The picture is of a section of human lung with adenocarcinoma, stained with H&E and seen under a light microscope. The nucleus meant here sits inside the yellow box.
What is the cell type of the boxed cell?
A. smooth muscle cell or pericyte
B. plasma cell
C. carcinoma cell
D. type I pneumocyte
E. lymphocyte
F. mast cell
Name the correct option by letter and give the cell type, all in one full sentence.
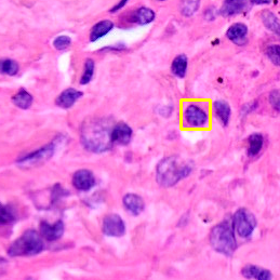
Option F properly identifies the boxed cell as a mast cell.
